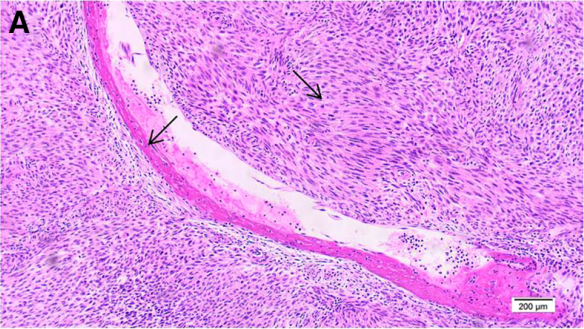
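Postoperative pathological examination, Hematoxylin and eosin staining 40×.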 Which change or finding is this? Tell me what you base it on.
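The cells form sweeping fascicles with no normal tissue architecture. The answer: fusiform cell diffuse hyperplasia.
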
